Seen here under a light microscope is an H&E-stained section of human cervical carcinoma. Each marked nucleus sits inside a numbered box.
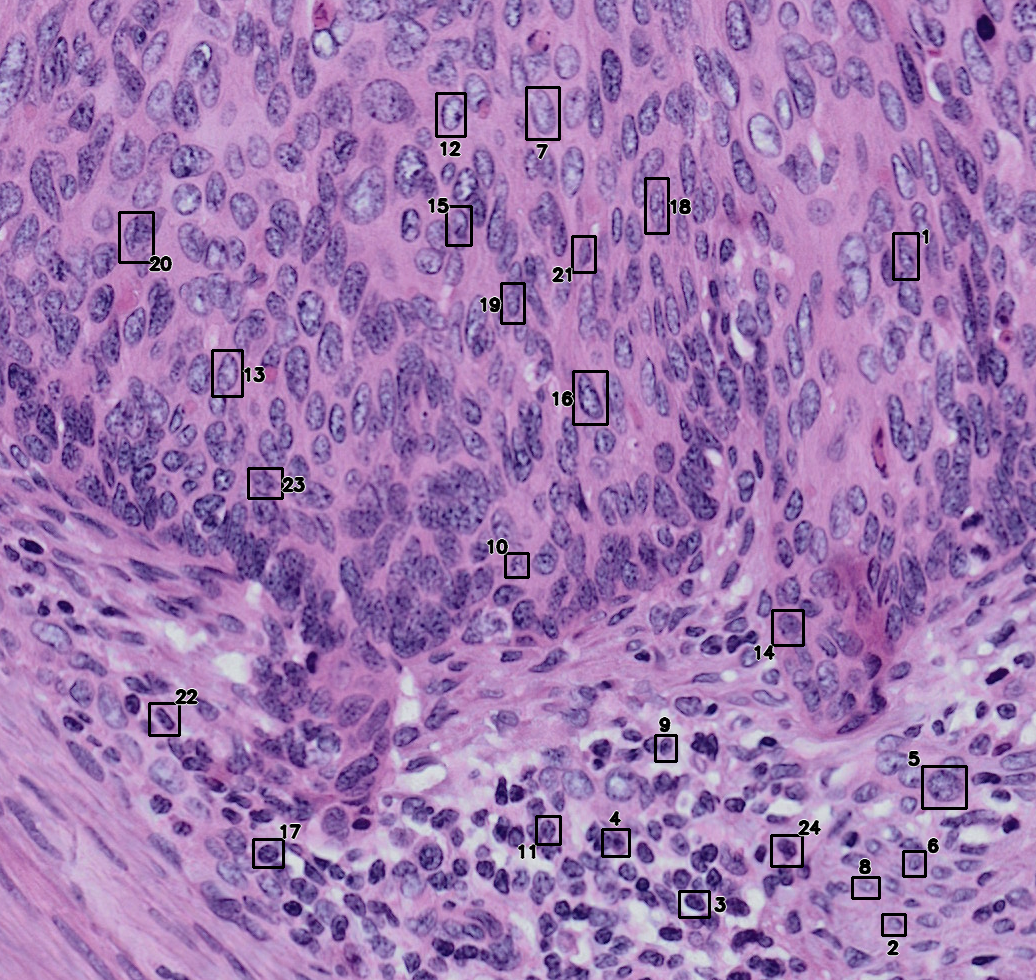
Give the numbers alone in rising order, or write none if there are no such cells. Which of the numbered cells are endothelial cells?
5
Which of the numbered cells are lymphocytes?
3, 4, 9, 11, 17, 22, 24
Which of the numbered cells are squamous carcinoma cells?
1, 7, 10, 12, 13, 14, 15, 16, 18, 19, 20, 21, 23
